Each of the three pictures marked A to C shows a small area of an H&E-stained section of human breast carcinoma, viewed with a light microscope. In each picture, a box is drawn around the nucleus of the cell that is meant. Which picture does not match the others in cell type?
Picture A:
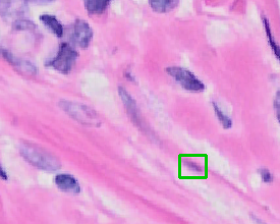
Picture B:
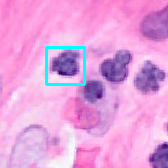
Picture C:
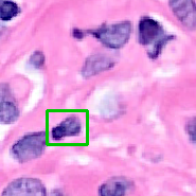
A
